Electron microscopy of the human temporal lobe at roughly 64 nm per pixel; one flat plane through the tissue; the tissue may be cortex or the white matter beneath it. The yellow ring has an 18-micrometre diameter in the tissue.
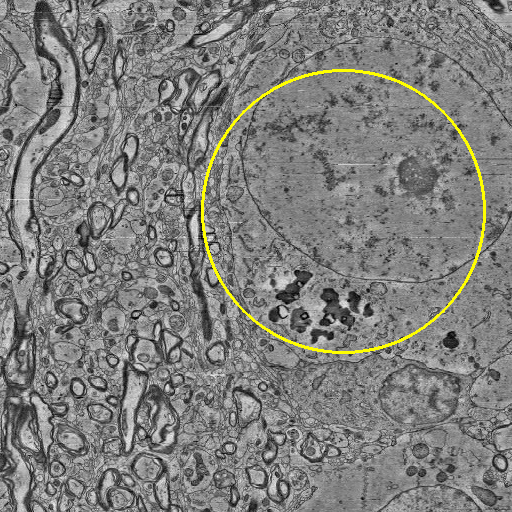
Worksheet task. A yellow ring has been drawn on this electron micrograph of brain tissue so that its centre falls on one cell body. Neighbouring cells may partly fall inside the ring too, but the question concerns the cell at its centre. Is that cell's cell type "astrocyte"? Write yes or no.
no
